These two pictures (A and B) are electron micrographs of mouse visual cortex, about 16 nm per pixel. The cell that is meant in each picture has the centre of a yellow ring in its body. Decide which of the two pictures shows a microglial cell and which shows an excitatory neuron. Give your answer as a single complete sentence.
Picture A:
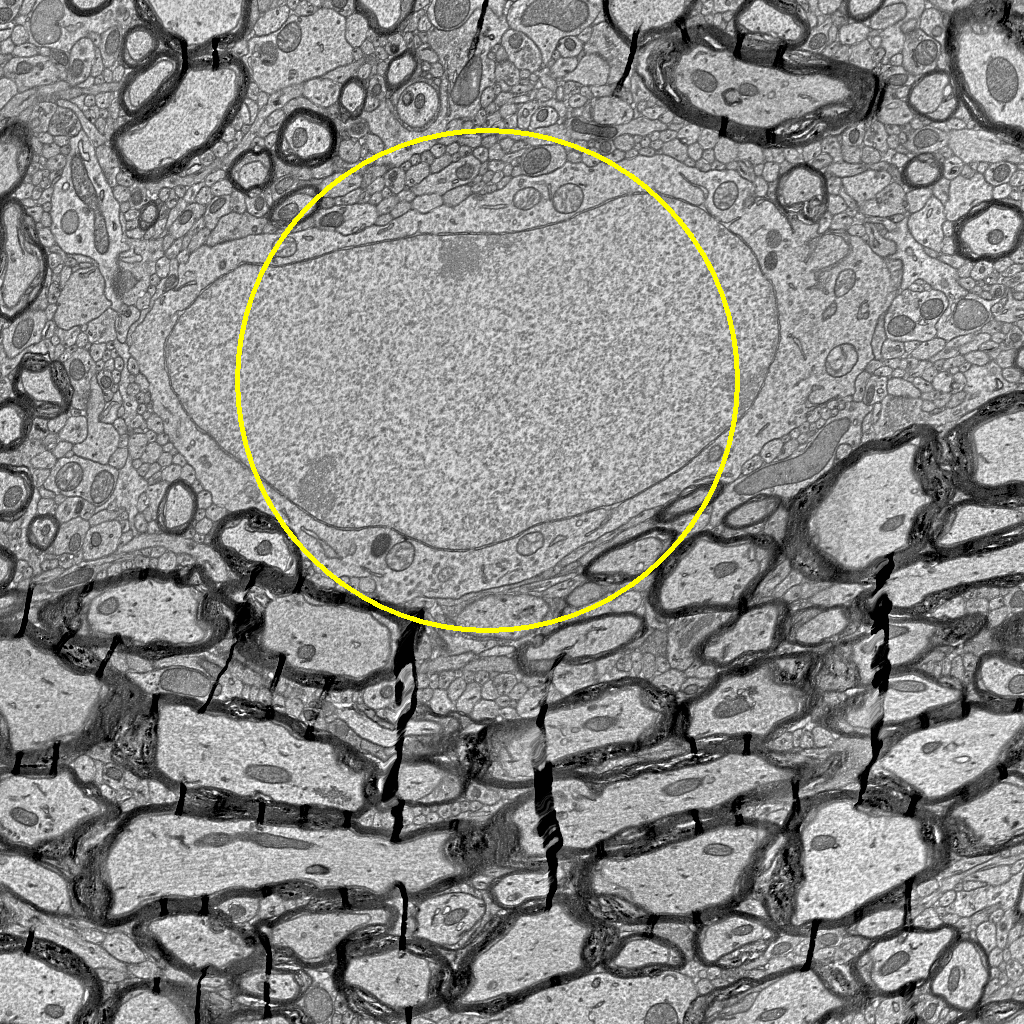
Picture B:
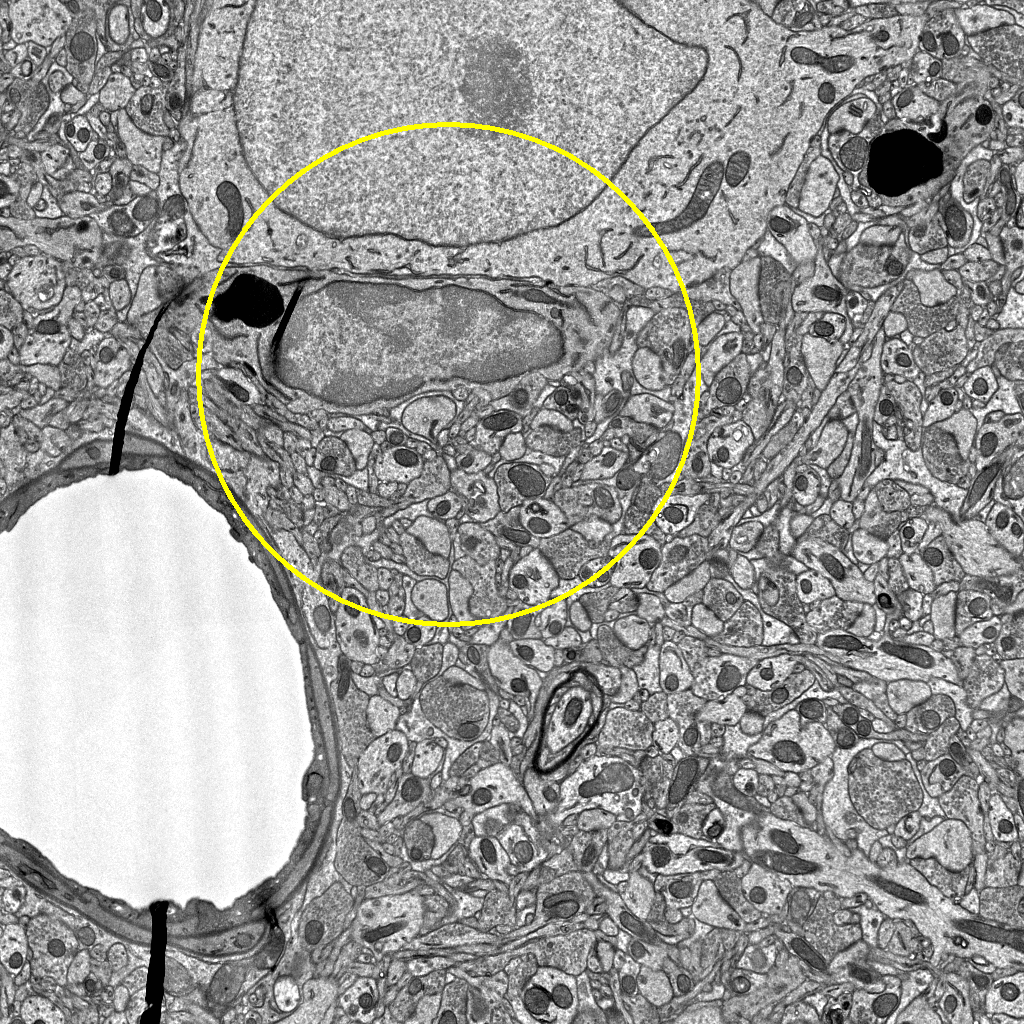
Picture A is of an excitatory neuron, and picture B is of a microglial cell.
